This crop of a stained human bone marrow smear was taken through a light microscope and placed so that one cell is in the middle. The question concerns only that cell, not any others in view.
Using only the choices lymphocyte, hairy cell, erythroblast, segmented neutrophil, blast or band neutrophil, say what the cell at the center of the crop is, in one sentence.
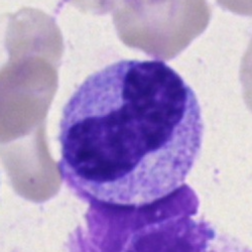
The cell featured at the centre of this crop is a band neutrophil.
